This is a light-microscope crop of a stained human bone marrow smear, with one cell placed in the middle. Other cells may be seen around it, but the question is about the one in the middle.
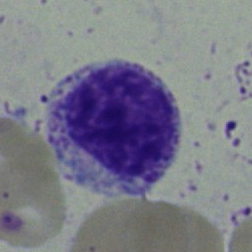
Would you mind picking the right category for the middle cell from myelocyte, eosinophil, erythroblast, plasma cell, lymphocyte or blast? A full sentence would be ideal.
The cell nearest the centre of this crop is a myelocyte.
